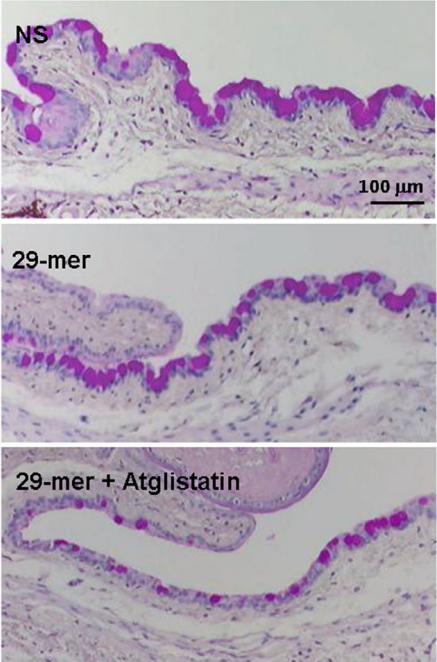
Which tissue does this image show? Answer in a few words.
conjunctiva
